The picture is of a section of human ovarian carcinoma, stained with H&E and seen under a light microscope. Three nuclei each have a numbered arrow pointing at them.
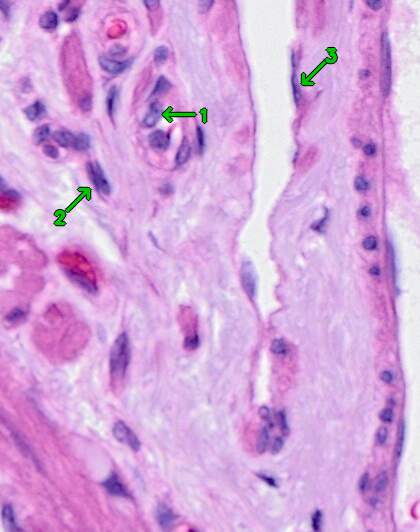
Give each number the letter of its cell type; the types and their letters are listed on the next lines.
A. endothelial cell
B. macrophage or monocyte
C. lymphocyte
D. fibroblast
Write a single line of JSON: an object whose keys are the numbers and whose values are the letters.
{"1": "A", "2": "D", "3": "A"}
